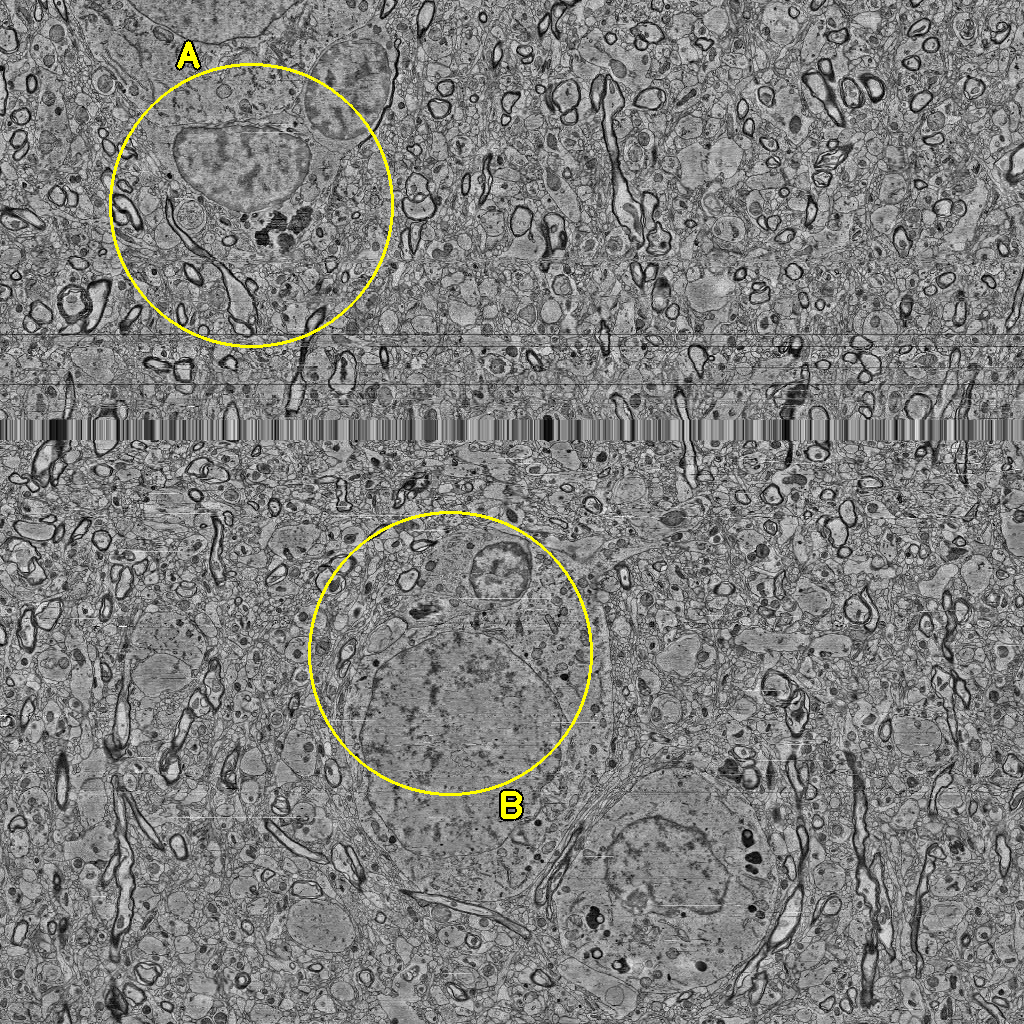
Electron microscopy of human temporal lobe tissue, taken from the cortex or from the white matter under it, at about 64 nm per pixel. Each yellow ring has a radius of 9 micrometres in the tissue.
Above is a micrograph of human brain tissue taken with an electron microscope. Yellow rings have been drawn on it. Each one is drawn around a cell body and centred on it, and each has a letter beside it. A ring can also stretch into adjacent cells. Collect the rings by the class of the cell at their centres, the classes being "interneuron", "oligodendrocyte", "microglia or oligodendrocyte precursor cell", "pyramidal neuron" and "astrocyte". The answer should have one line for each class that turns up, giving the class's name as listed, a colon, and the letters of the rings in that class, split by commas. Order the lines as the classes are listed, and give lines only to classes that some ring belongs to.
oligodendrocyte: A
pyramidal neuron: B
